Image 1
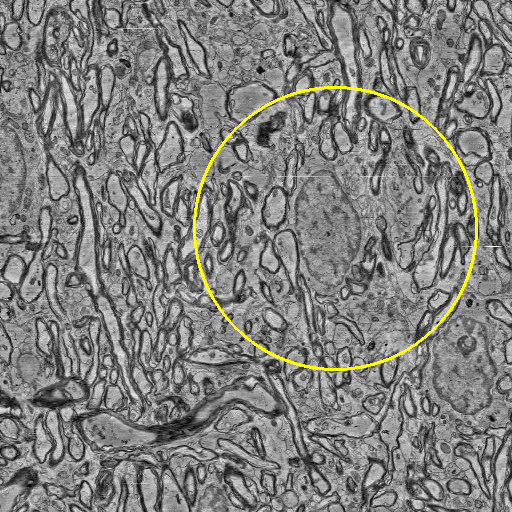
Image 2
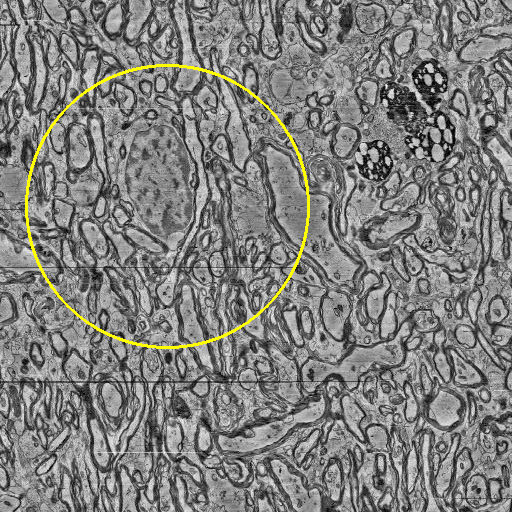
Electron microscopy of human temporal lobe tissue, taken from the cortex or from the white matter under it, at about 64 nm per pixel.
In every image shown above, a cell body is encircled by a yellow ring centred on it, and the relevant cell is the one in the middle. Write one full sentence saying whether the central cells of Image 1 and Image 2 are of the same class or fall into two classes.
The cell at the ring's centre in Image 1 and its counterpart in Image 2 fall into two classes.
